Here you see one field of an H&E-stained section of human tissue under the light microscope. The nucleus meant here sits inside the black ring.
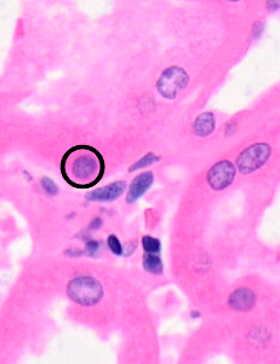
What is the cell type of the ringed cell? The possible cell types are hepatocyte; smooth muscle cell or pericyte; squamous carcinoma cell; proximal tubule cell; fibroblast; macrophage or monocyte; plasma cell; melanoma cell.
proximal tubule cell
